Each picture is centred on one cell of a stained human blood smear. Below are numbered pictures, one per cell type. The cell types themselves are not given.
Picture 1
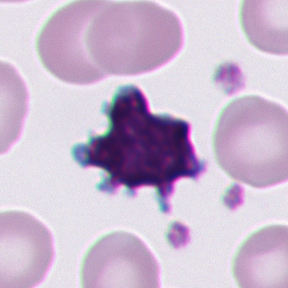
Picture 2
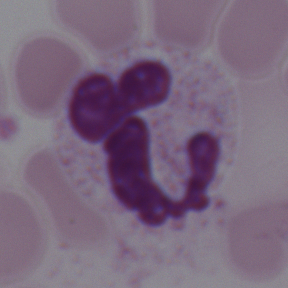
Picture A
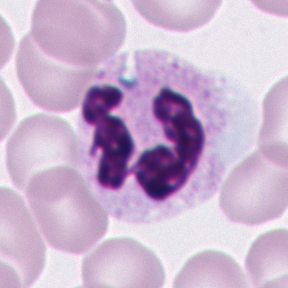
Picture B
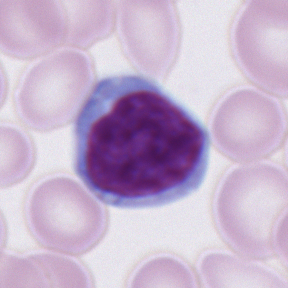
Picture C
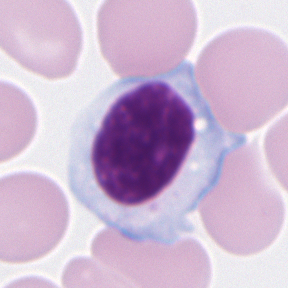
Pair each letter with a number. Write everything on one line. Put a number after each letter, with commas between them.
A 2, B 1, C 1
